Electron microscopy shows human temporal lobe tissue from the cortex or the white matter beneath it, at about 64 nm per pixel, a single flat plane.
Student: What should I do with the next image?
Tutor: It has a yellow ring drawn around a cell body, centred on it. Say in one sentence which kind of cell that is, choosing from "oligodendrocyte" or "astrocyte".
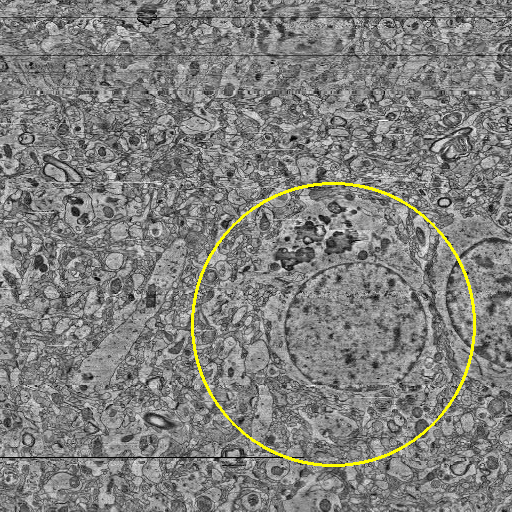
The ring's centre is occupied by an astrocyte.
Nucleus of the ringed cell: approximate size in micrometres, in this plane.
The nucleus is approximately 9 micrometers across in this plane.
